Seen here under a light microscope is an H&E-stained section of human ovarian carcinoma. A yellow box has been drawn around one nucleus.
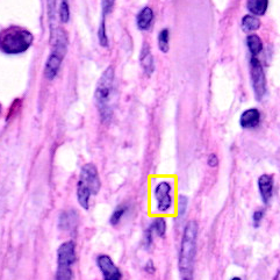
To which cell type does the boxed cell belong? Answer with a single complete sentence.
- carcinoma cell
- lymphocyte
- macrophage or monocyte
This is a lymphocyte.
